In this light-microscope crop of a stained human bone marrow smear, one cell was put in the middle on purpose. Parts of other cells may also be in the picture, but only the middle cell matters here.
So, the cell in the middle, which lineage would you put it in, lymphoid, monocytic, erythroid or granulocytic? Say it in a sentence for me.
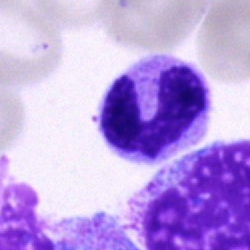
As for the middle cell, it is a member of the granulocytic lineage.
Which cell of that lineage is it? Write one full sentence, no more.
In the middle of this smear crop is a band neutrophil.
